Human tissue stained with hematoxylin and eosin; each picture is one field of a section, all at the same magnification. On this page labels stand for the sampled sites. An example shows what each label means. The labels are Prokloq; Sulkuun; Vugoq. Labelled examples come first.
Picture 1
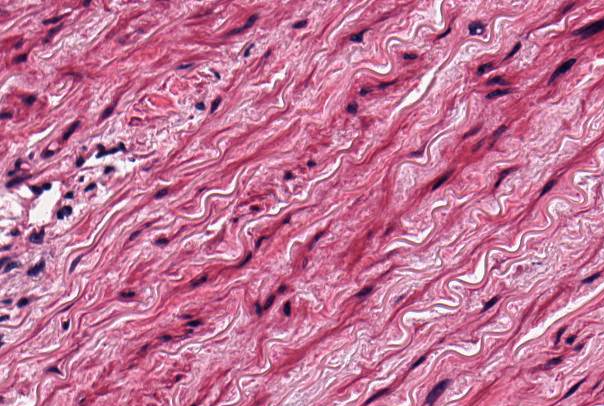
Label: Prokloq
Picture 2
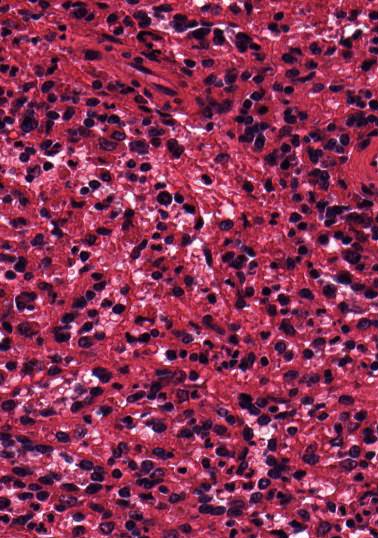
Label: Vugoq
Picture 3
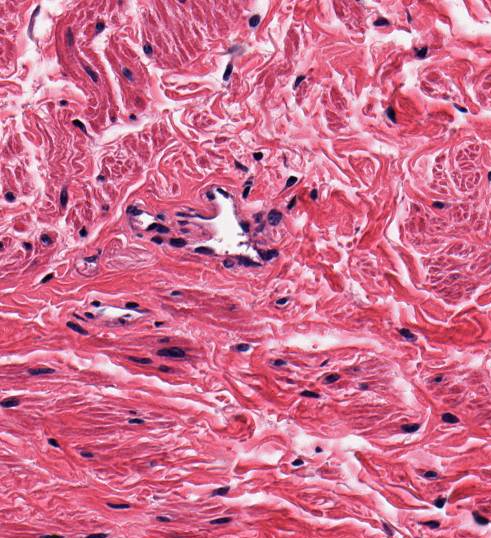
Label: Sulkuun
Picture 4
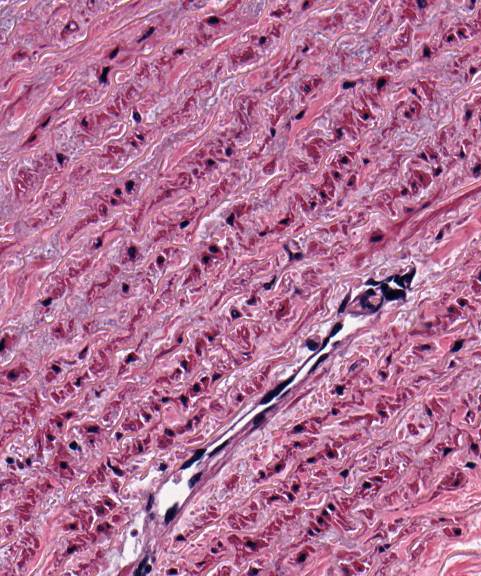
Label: Prokloq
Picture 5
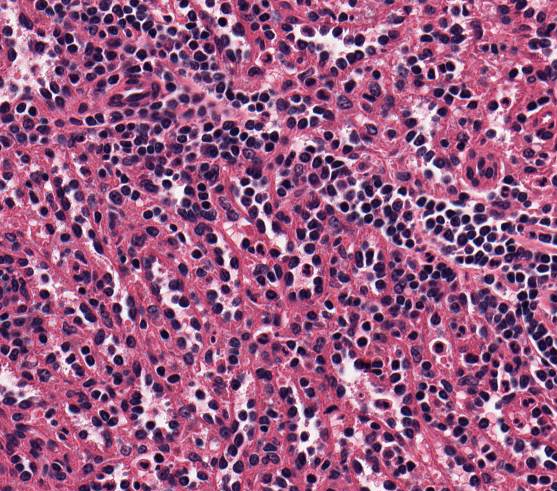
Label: Vugoq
